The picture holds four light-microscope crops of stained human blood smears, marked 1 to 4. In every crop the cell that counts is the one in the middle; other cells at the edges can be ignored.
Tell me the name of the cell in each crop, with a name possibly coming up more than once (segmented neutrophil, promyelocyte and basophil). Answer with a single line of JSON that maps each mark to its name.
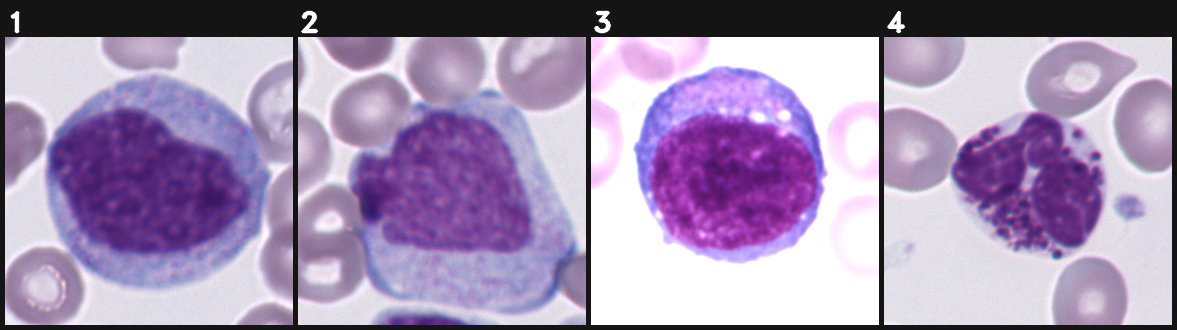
{"1": "promyelocyte", "2": "promyelocyte", "3": "promyelocyte", "4": "basophil"}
